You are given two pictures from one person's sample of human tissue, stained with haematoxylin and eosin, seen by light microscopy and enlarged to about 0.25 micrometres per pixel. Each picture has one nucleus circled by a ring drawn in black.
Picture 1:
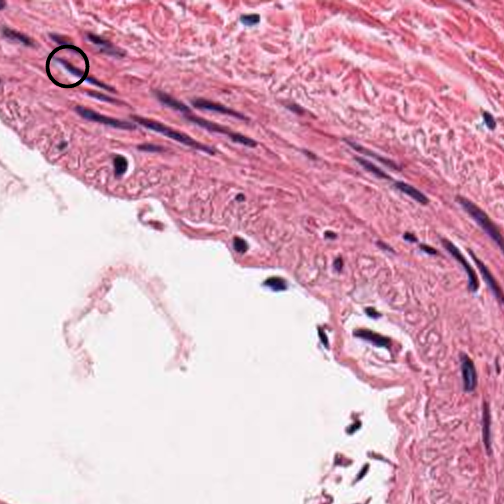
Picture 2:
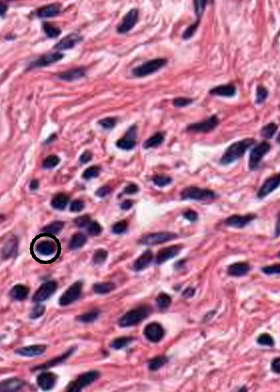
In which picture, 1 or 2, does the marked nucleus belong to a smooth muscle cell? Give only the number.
1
